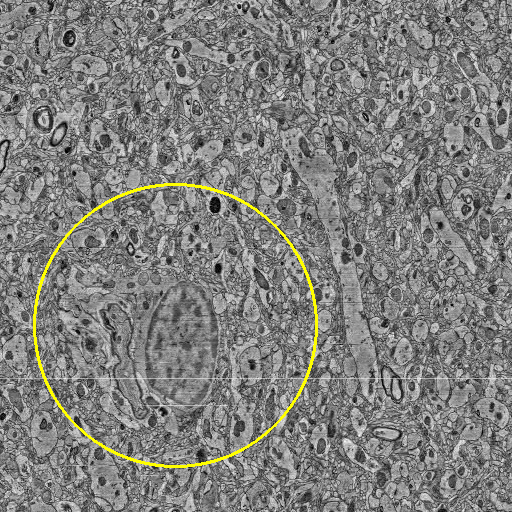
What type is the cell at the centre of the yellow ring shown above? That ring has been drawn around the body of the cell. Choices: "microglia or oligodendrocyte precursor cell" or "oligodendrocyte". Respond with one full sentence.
My answer is that an oligodendrocyte lies at the centre of the yellow ring above.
